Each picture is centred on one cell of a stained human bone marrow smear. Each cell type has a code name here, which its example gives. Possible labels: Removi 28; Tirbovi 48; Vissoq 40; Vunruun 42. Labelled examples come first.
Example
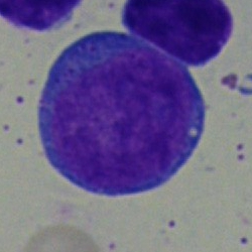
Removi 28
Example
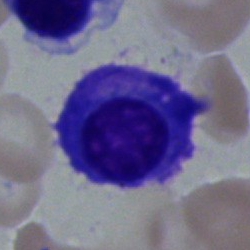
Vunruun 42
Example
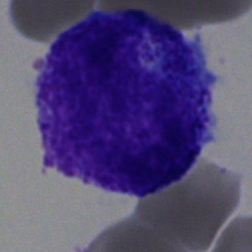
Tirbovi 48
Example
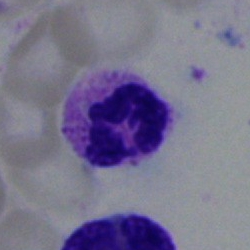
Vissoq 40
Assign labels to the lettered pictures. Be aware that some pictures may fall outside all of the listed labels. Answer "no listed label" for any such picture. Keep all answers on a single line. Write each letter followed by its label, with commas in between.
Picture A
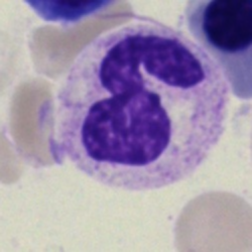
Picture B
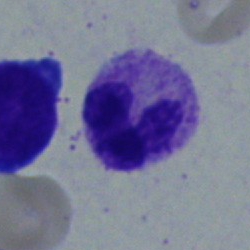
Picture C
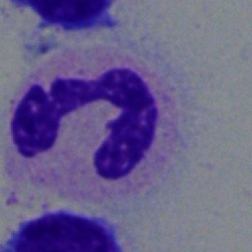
A Vissoq 40, B no listed label, C Vissoq 40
